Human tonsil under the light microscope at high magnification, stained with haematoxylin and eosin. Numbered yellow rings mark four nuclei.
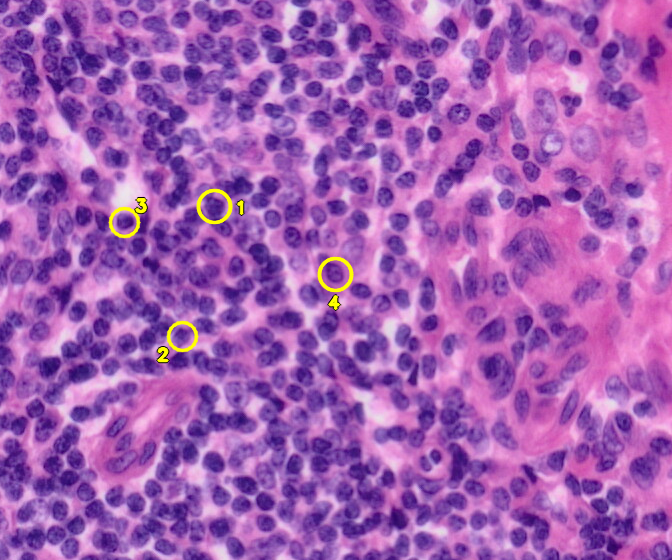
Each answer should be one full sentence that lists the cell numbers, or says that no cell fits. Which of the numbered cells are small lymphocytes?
The cells numbered 1, 2 and 3 fall into the category of small lymphocytes.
